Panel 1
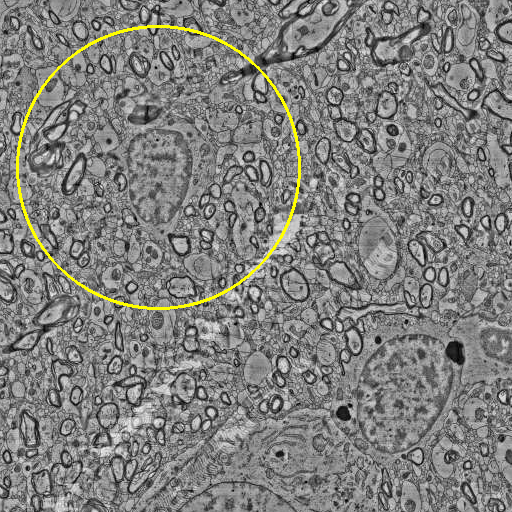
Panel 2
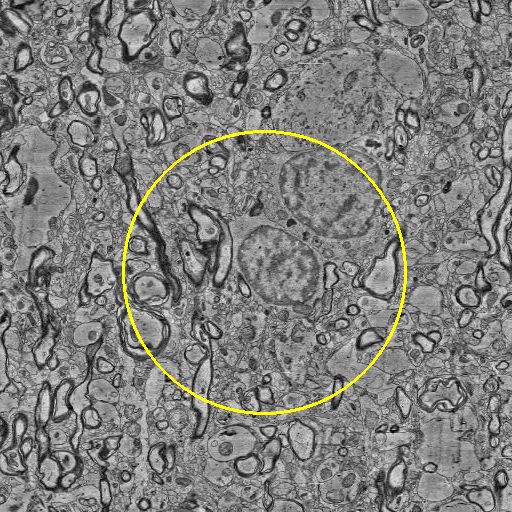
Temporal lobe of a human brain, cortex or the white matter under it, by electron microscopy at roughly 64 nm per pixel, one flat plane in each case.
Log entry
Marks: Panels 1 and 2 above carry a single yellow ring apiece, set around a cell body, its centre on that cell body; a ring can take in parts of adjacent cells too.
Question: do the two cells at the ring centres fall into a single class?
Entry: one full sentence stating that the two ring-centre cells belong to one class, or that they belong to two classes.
The two ring-centre cells in Panels 1 and 2 belong to one class.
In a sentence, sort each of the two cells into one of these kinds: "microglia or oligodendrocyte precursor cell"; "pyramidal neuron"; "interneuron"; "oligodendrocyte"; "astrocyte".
Both cells are the same kind, each one being an oligodendrocyte.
